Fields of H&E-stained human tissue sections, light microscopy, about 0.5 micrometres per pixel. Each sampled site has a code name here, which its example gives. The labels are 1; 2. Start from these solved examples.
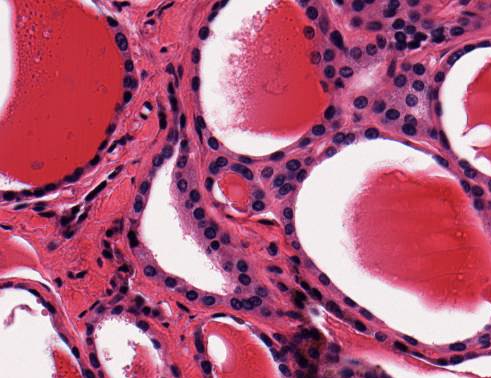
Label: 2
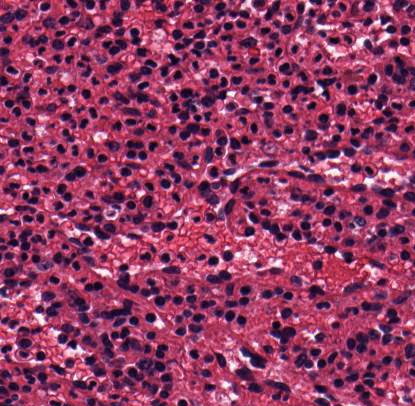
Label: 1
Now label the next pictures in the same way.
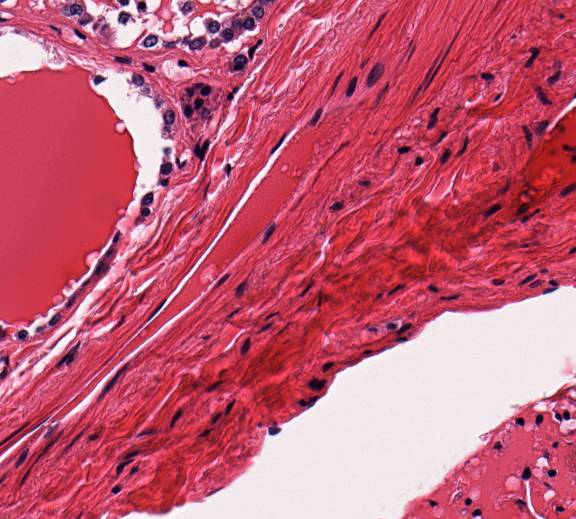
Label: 2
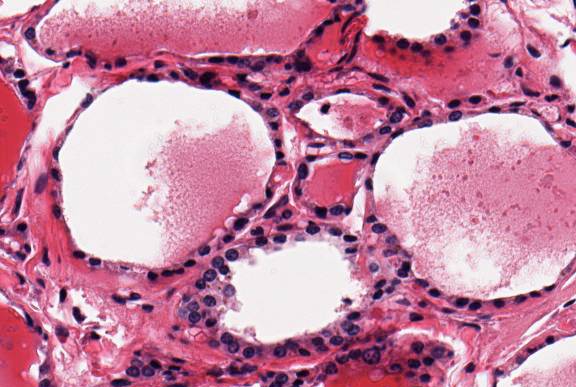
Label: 2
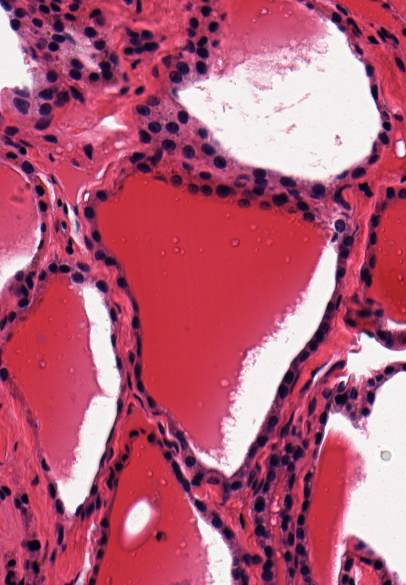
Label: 2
